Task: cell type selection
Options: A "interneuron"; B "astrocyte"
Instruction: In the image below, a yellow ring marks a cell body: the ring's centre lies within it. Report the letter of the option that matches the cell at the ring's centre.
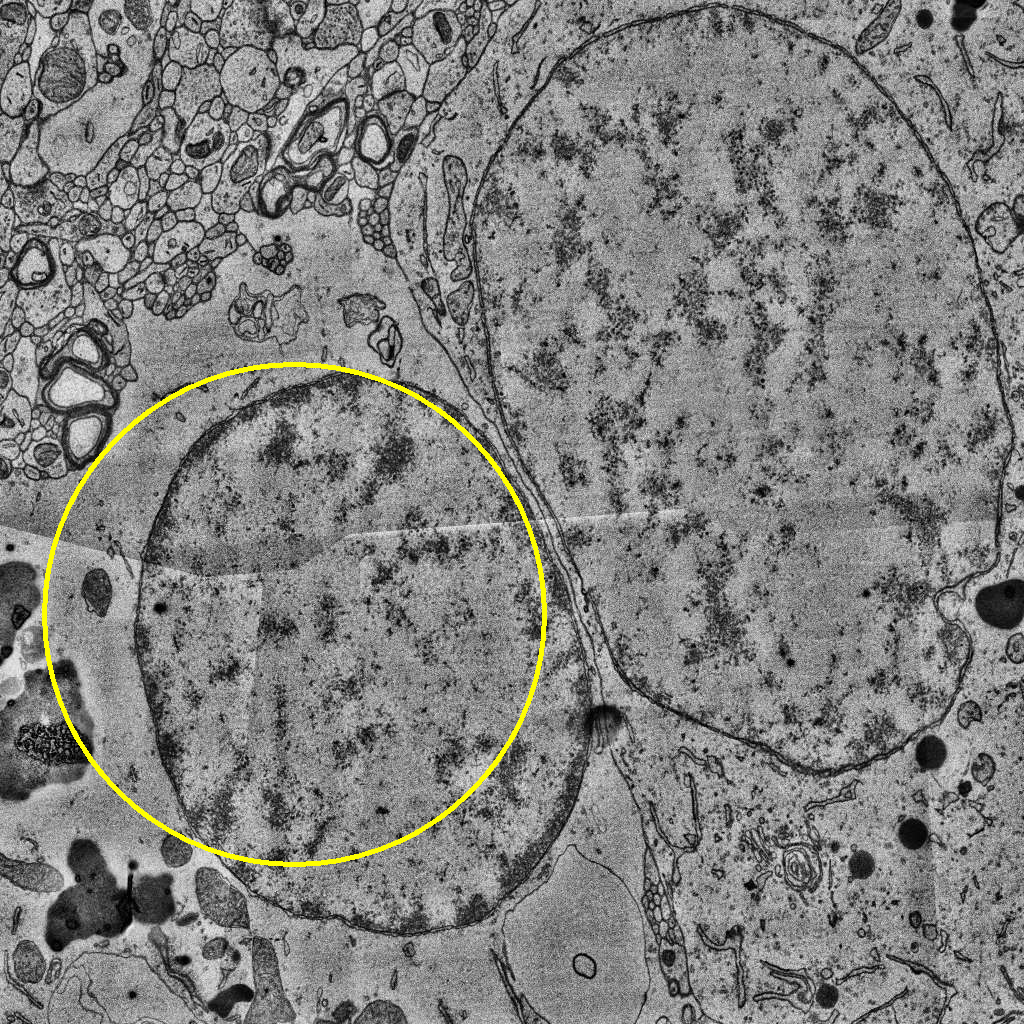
B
